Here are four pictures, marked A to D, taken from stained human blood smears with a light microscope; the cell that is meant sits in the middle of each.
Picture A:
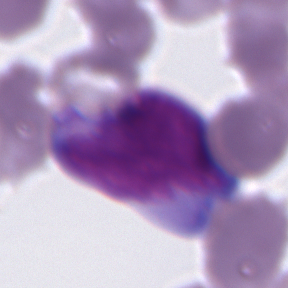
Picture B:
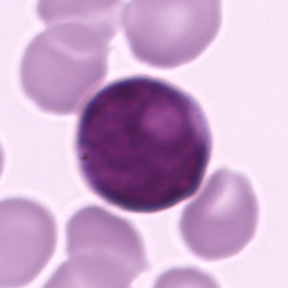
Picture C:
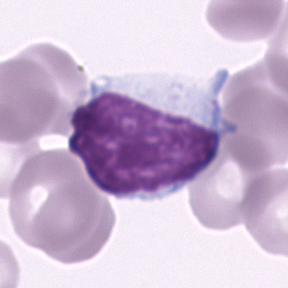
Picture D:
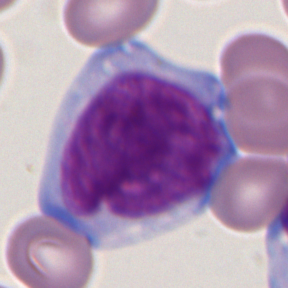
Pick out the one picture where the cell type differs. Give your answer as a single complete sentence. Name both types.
Picture C is the odd one out: it shows a typical lymphocyte, while the others show myeloblasts.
